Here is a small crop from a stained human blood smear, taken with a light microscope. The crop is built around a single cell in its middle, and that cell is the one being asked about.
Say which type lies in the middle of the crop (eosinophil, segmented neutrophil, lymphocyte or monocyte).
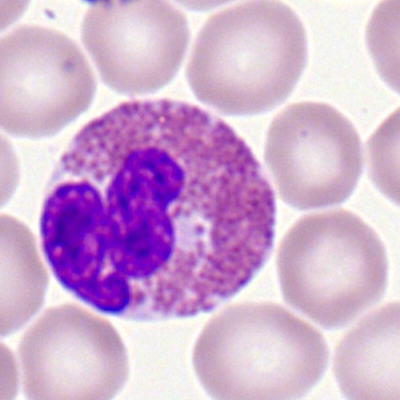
eosinophil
